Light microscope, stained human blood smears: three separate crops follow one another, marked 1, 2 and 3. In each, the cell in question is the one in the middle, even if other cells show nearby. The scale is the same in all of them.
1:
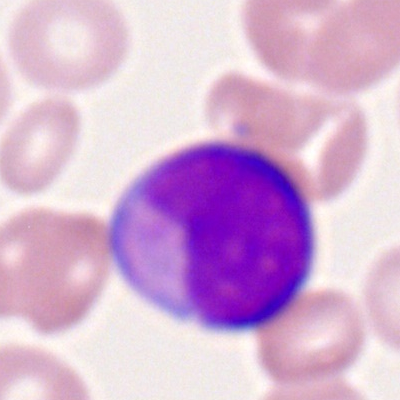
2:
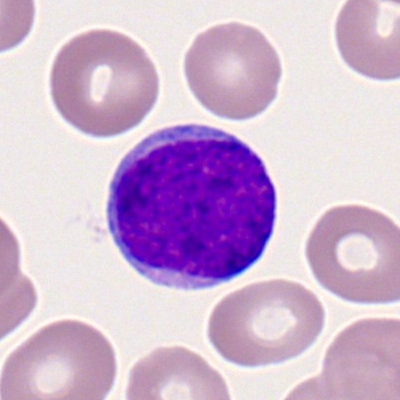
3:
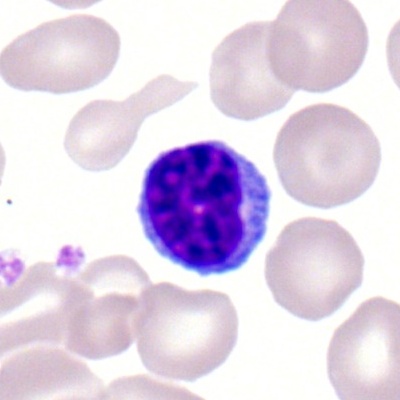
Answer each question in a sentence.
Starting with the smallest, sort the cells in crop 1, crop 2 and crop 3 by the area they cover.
Smallest first: 3, 2, 1.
